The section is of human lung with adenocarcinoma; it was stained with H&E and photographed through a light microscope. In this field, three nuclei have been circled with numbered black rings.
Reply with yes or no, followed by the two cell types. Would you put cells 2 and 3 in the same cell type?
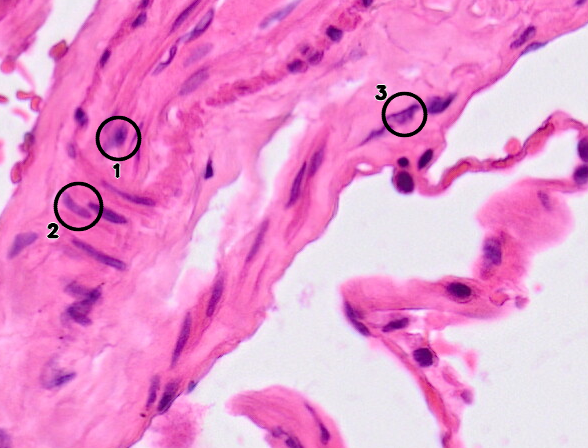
No, cell 2 is a smooth muscle cell or pericyte, while a fibroblast is what cell 3 is.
